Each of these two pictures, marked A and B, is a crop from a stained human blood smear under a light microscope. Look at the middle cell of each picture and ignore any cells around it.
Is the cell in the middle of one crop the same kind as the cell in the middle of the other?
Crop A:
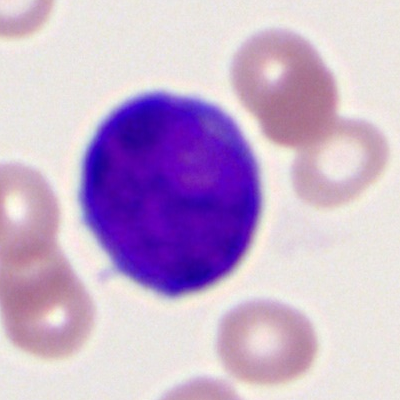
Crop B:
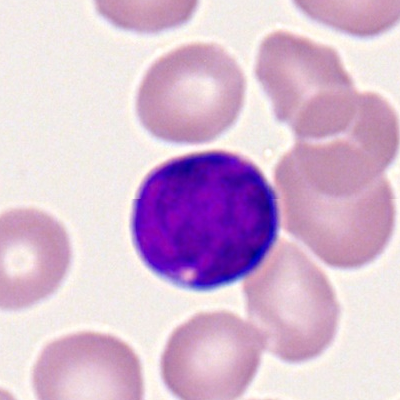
yes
